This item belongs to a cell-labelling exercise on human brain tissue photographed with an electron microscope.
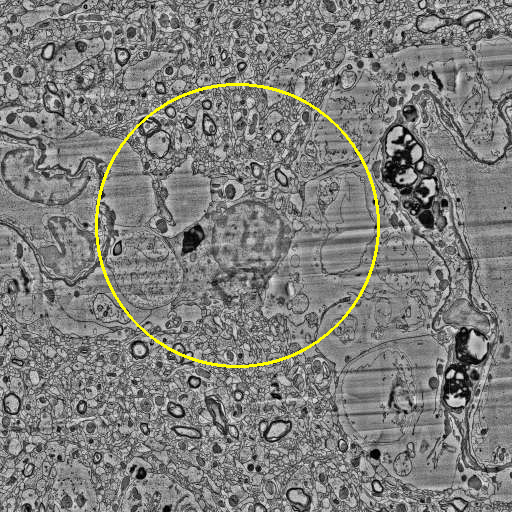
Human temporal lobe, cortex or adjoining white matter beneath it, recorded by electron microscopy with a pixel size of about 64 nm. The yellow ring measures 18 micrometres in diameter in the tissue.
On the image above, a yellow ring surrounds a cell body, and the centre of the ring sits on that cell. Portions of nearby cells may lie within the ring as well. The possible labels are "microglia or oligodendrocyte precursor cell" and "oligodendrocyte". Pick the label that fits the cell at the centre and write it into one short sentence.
This cell should be labelled as an oligodendrocyte.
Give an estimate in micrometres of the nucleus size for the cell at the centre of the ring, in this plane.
Roughly 5 micrometers across in this plane.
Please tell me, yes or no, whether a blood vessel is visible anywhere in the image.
Yes, a blood vessel can be seen.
